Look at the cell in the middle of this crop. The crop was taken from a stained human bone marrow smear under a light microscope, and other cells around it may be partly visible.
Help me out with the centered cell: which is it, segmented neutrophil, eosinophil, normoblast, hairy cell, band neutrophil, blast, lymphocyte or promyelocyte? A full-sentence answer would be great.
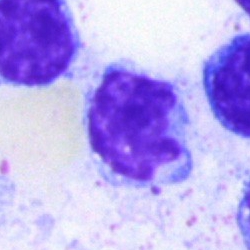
The cell around which this crop is centred is a lymphocyte.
